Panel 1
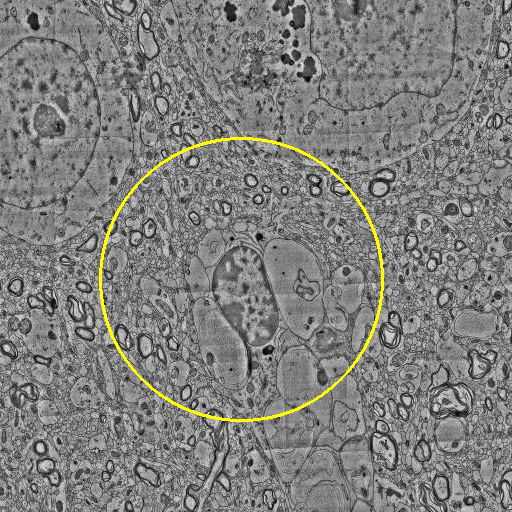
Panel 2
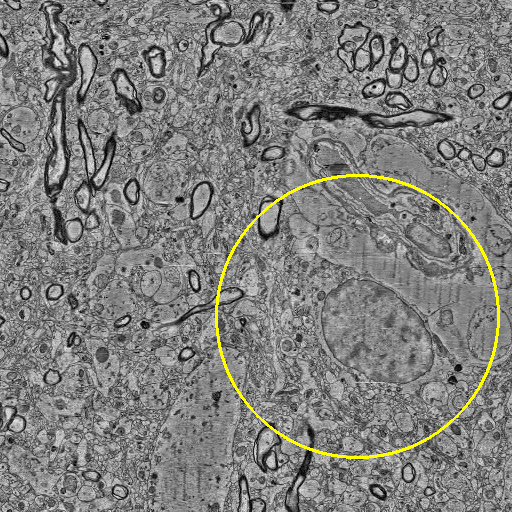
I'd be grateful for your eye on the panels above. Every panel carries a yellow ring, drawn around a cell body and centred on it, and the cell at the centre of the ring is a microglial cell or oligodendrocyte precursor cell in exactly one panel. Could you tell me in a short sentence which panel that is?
Panel 1 is the one with it at the centre of the ring.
